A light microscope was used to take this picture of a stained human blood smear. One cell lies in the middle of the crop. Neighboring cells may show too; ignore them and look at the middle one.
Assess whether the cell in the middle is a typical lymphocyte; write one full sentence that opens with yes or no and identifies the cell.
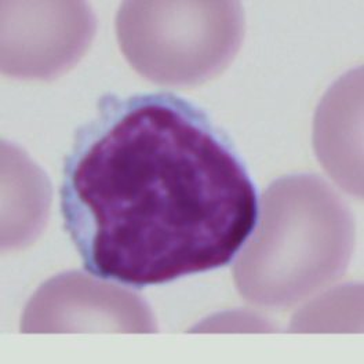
Yes, the cell in the middle has the identity of a typical lymphocyte.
